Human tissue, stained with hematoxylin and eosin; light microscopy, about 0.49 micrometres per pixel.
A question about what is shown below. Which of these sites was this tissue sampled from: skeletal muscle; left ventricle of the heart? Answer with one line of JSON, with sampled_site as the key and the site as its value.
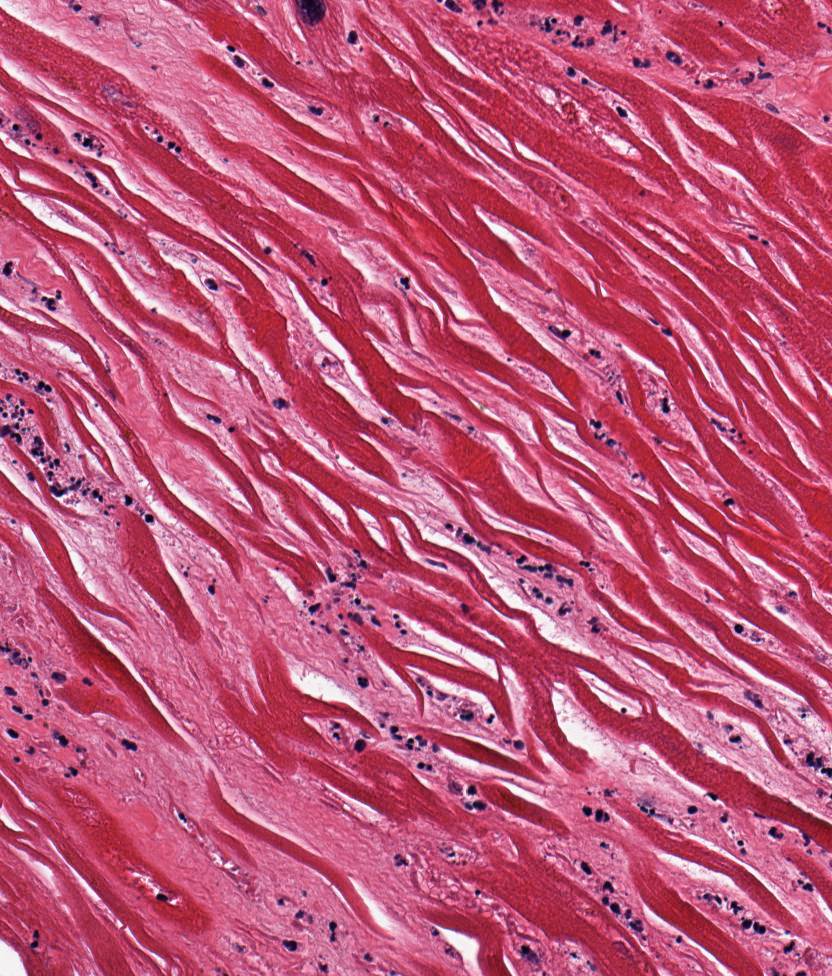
{"sampled_site": "left ventricle of the heart"}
